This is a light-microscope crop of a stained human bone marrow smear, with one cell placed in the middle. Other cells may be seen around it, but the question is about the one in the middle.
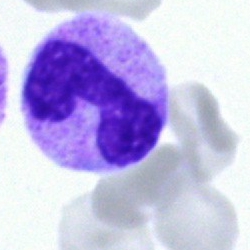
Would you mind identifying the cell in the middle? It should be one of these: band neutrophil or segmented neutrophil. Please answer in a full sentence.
The middle of this crop is occupied by a band neutrophil.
